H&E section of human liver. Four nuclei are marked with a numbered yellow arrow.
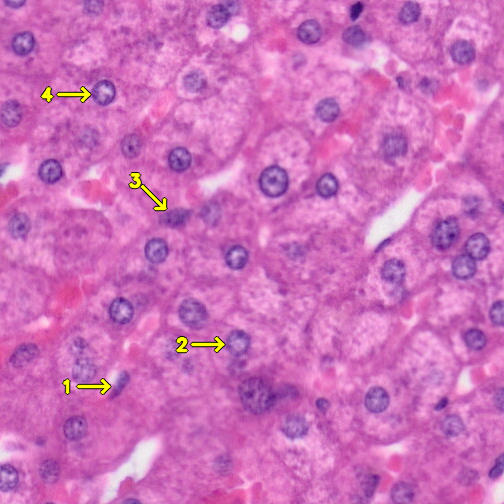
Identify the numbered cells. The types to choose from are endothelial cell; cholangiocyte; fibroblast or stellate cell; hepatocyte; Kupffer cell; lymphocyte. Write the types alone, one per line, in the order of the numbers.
endothelial cell
hepatocyte
endothelial cell
hepatocyte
